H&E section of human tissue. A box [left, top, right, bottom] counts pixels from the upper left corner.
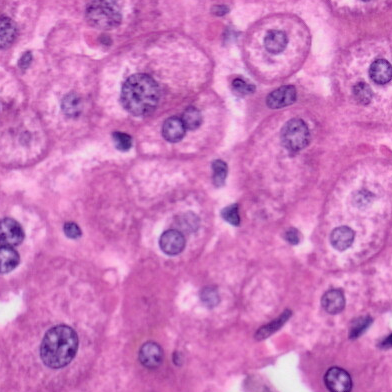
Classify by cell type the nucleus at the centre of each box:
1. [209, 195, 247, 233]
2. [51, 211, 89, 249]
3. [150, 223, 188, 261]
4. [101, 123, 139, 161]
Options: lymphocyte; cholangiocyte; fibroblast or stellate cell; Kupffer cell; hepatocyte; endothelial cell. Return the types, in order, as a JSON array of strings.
["endothelial cell", "lymphocyte", "hepatocyte", "endothelial cell"]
